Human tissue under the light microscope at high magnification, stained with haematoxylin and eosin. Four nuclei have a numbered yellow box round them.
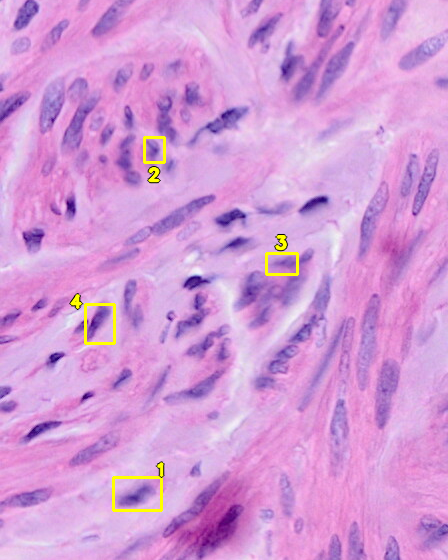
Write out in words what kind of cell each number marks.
Cell 1 is a fibroblast. Cells 2, 3 and 4 are smooth muscle cells.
